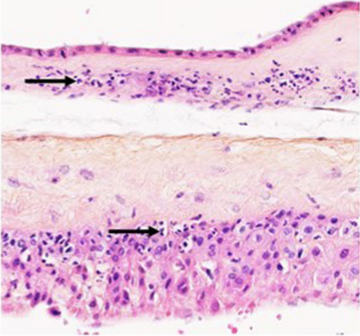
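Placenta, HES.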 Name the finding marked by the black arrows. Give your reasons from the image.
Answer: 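Neutrophilic infiltration. Small, dark, irregular nuclei are scattered among the cells near the arrows. These small dark nuclei are clustered in the connective tissue below the surface lining and among the larger cells of the lower band.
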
